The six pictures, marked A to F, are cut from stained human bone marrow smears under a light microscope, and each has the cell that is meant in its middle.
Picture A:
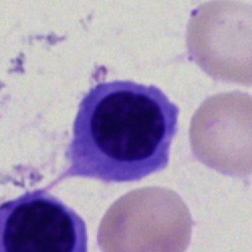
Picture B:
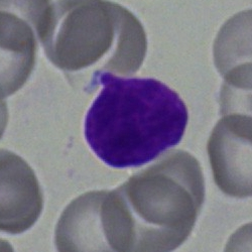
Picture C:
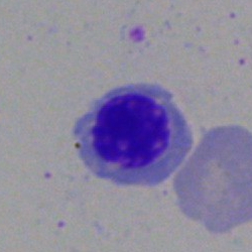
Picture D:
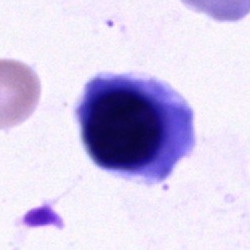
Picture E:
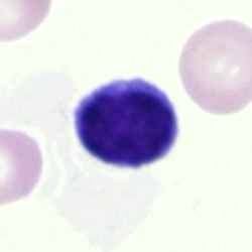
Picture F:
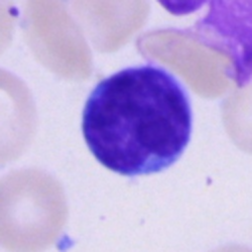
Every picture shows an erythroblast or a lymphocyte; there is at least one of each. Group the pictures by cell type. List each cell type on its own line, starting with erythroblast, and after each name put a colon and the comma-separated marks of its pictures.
erythroblast: A, C, D
lymphocyte: B, E, F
